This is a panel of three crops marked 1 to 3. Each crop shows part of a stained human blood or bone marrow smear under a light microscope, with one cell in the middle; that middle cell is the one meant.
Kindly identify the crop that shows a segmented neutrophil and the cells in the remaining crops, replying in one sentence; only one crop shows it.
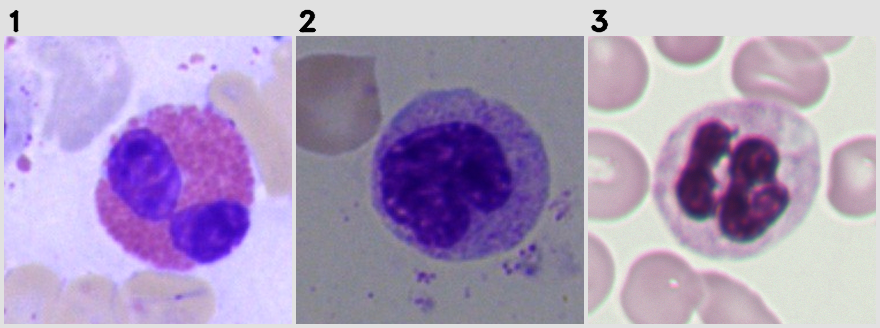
Crop 3 is to be called a segmented neutrophil, while crop 1 is an eosinophil and crop 2 is a metamyelocyte.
